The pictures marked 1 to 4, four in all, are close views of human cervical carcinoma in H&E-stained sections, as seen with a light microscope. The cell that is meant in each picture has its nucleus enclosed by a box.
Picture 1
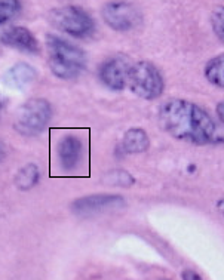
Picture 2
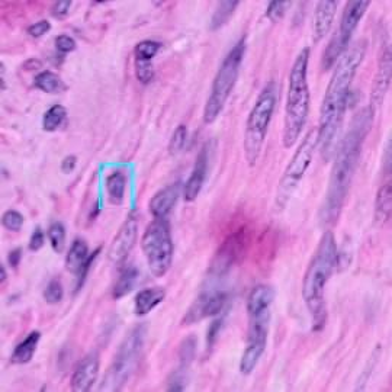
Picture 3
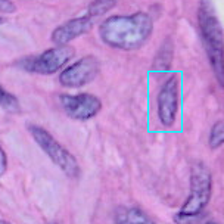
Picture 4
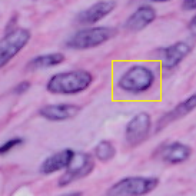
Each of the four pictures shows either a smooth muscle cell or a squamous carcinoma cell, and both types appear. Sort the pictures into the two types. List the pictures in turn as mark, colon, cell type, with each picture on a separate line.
1: squamous carcinoma cell
2: smooth muscle cell
3: smooth muscle cell
4: smooth muscle cell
